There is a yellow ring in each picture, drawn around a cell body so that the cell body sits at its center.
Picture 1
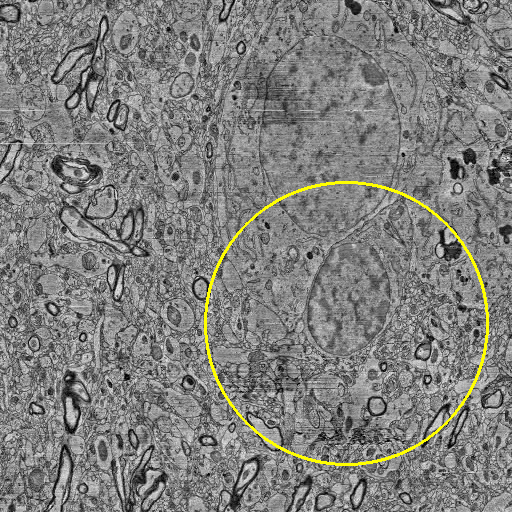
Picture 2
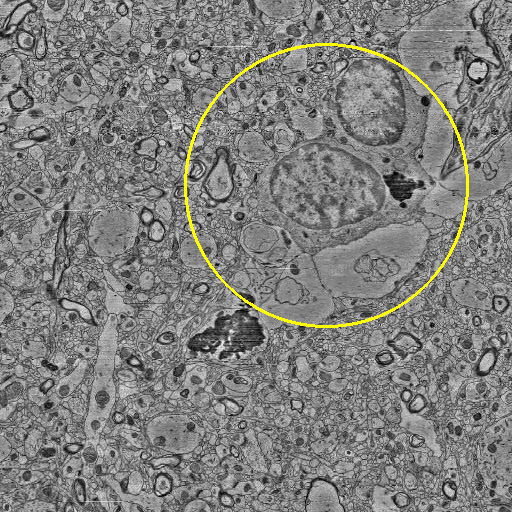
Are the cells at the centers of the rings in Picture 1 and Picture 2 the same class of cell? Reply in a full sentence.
Yes, the two cells are the same class of cell.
